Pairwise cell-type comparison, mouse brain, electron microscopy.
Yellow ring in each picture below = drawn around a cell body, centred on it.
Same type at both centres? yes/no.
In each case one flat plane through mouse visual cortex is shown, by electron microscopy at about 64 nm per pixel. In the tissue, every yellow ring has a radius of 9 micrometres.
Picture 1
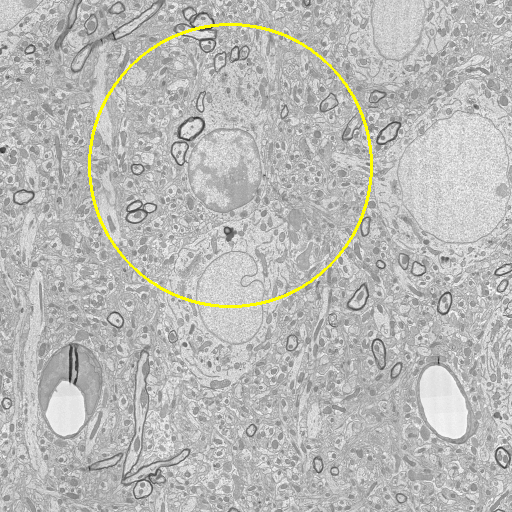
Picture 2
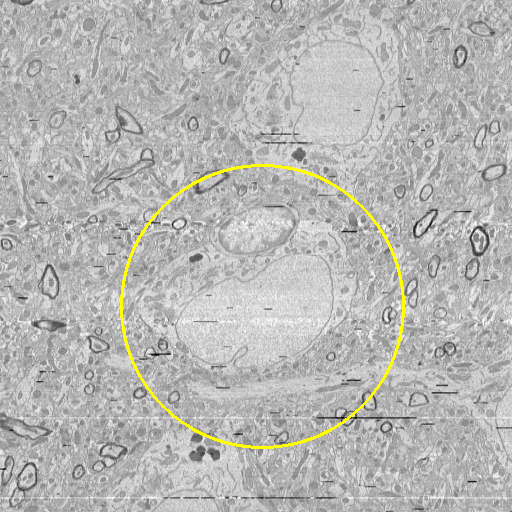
no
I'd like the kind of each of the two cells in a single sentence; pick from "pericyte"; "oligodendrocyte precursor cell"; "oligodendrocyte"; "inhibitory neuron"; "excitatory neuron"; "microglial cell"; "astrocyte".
The first ring marks an oligodendrocyte, and the second ring marks an excitatory neuron.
